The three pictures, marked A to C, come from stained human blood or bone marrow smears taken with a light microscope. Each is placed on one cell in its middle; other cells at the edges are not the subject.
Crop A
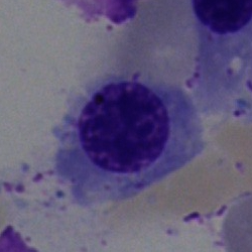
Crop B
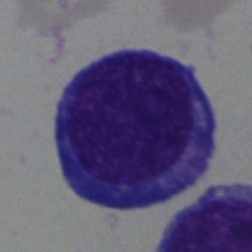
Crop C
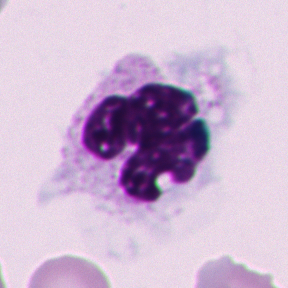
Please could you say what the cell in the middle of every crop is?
A: erythroblast
B: blast
C: segmented neutrophil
